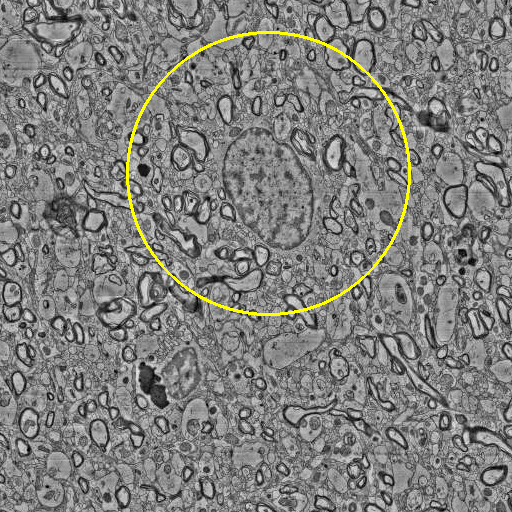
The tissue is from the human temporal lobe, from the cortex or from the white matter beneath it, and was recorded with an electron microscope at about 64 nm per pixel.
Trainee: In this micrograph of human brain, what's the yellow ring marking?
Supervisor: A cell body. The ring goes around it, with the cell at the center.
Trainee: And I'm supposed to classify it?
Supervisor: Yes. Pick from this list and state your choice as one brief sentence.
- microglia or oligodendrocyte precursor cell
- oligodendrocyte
The cell at the ring's center is an oligodendrocyte.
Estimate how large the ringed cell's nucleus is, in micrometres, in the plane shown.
The ringed cell's nucleus is about 8 micrometres long and 5 micrometres wide in this plane.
